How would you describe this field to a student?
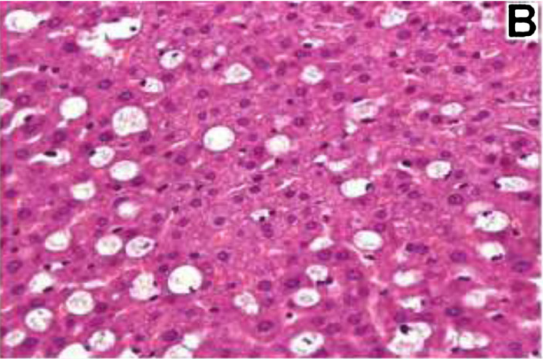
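Liver parenchyma with cords of polygonal hepatocytes with round central nuclei and pink cytoplasm. Numerous scattered rounded cells with pale, clear, finely vacuolated foamy cytoplasm are interspersed among the hepatocytes, many with small dark nuclei at their edge.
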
